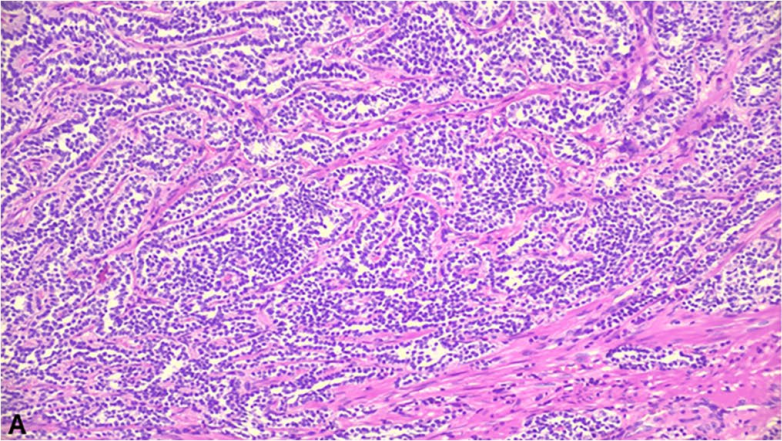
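At low power, a tumor composed of closely packed small cells grows in small lobules and branching cords. Thin bands of pink fibrous stroma run between the cell groups, and a broader band of pink stroma crosses the lower part of the field. Cells within the cords are small with dark nuclei, and some cords line small clefts.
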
